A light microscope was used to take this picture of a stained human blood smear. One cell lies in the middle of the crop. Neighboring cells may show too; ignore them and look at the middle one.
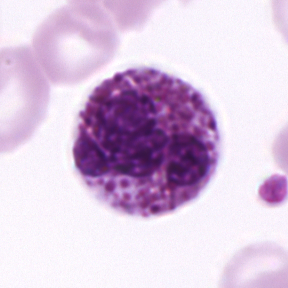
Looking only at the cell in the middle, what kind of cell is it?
eosinophil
